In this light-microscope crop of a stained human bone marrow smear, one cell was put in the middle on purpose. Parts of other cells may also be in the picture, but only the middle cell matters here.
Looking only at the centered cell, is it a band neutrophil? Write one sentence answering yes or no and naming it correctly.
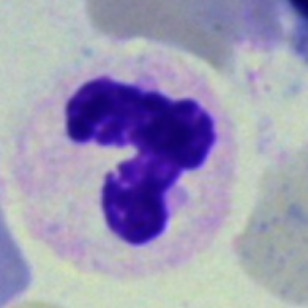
No, at the middle of the crop is a segmented neutrophil, not a band neutrophil.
